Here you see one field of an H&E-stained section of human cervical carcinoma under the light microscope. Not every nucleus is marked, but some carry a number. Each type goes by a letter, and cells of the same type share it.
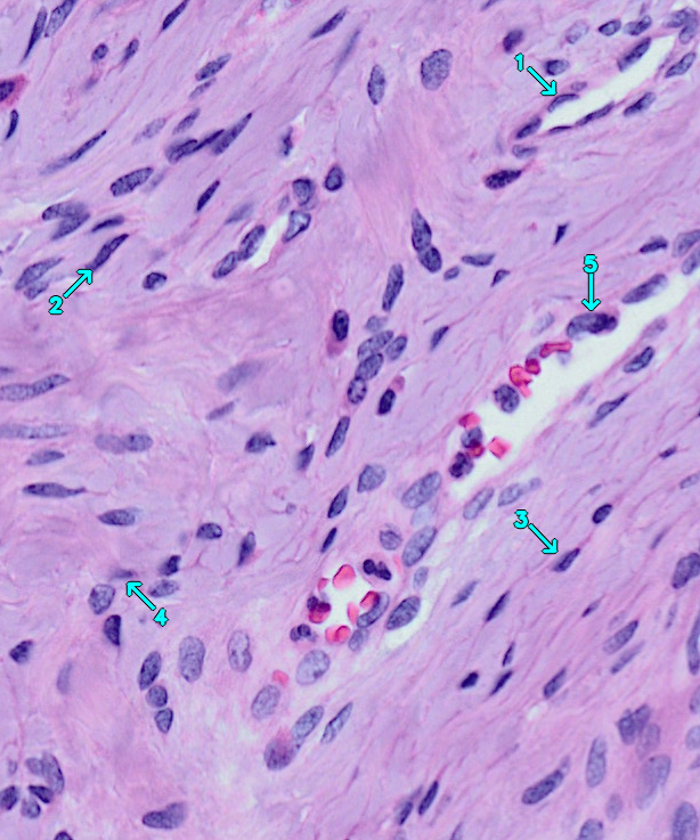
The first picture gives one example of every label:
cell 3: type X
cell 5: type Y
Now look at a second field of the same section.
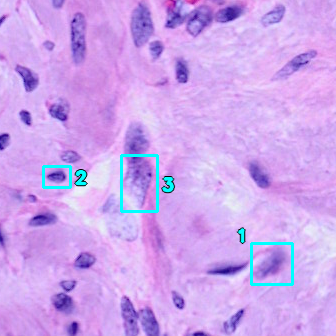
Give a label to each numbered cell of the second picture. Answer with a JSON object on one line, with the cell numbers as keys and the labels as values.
{"1": "type X", "2": "type X", "3": "type Y"}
